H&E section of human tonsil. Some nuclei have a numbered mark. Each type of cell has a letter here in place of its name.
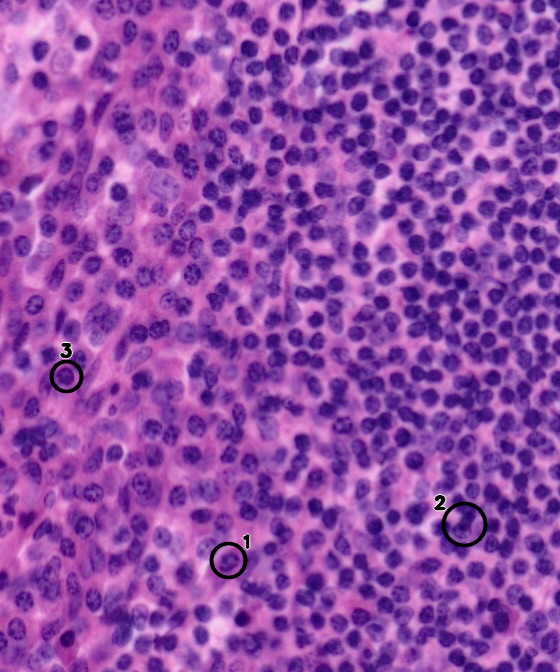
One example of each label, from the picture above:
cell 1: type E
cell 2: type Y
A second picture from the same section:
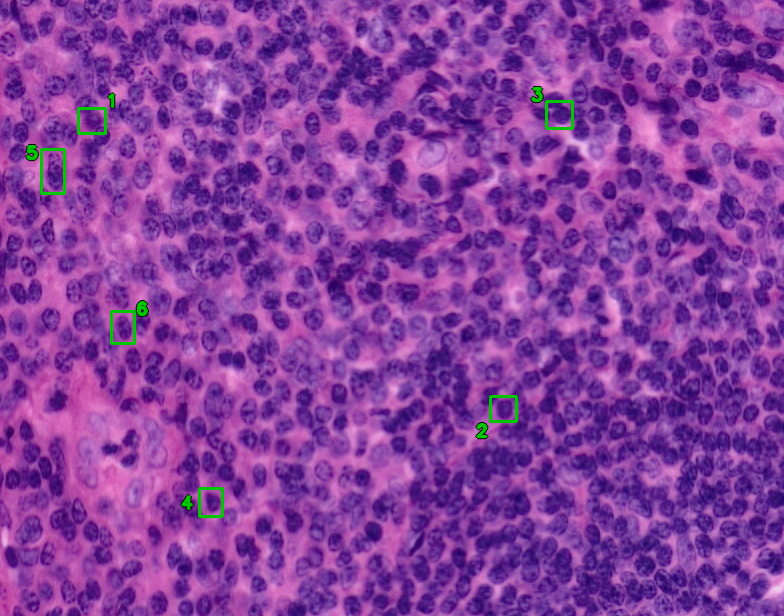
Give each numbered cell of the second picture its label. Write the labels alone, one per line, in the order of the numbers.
type E
type Y
type Y
type E
type E
type E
